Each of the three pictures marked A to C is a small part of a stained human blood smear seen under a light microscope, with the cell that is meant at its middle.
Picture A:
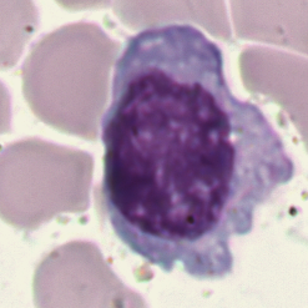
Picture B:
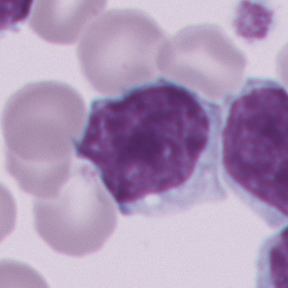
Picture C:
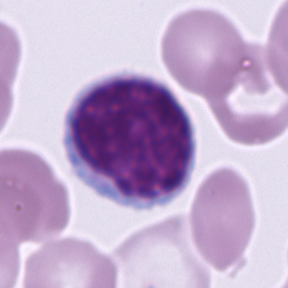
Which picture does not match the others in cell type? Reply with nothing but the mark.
A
